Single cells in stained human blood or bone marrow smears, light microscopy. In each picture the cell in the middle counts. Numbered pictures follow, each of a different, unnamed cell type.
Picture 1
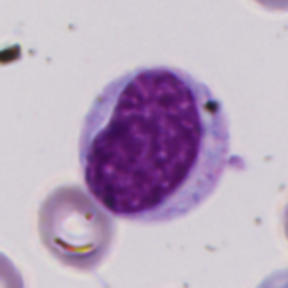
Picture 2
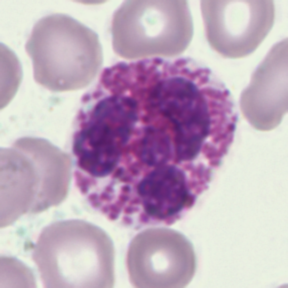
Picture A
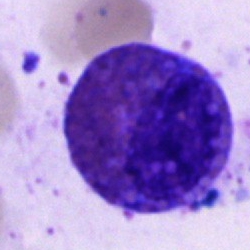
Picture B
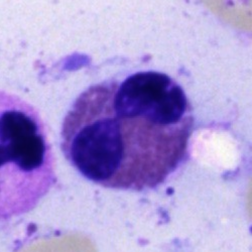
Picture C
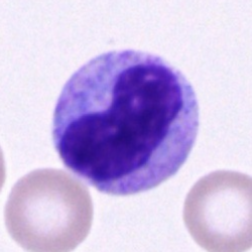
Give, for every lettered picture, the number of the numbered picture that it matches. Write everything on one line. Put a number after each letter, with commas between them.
A 2, B 2, C 1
